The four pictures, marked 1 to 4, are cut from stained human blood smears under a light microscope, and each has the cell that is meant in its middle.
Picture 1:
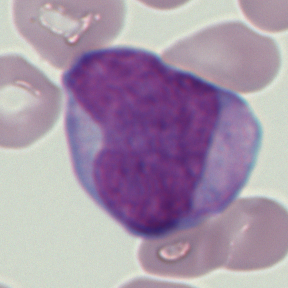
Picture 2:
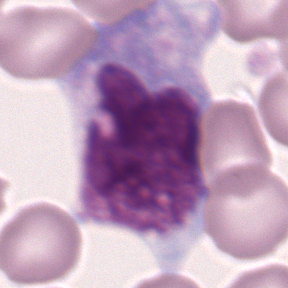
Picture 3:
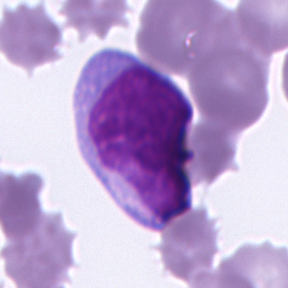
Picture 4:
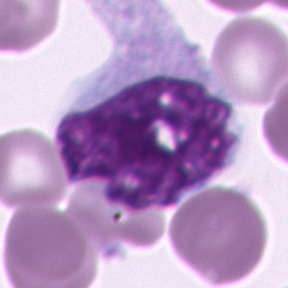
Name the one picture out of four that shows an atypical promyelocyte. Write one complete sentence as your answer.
The atypical promyelocyte is the one in picture 1.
